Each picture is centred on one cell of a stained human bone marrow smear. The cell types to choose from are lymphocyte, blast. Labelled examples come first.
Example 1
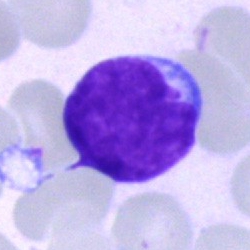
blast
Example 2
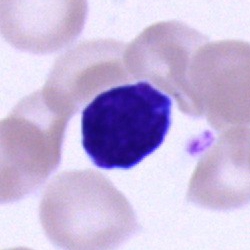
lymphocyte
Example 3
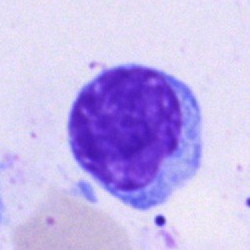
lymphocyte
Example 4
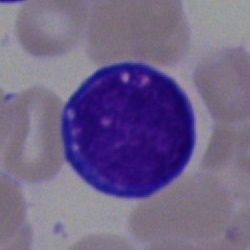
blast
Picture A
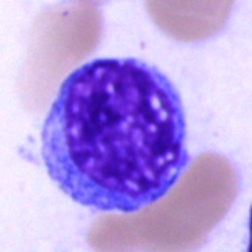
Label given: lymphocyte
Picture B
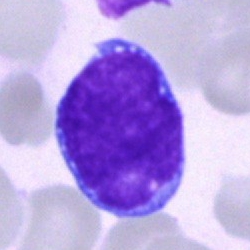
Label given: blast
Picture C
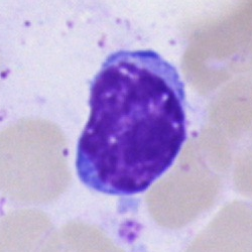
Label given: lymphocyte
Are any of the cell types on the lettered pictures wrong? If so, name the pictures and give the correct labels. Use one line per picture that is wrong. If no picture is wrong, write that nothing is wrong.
A: not lymphocyte but blast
